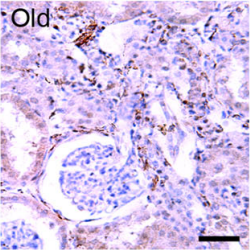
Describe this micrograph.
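The glomerulus is a rounded tuft of blue nuclei within a clear capsular space. Tubules are lined by cuboidal epithelium with round blue nuclei and pink-mauve cytoplasm. Brown cells are small, spindle-shaped or irregular, and lie in the interstitium between tubules and near the glomerulus.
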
